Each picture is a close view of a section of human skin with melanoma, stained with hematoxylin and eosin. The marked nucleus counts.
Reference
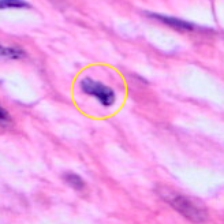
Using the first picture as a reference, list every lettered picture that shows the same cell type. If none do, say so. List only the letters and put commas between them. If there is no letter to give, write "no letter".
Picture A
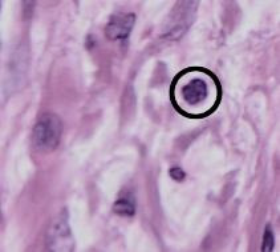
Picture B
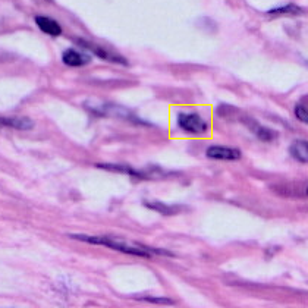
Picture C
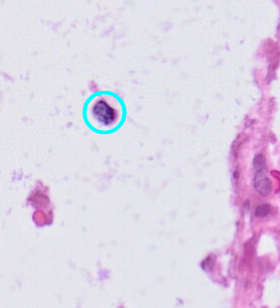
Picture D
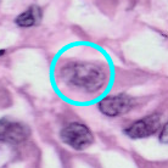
A, B, C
